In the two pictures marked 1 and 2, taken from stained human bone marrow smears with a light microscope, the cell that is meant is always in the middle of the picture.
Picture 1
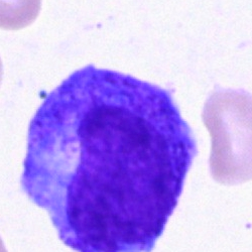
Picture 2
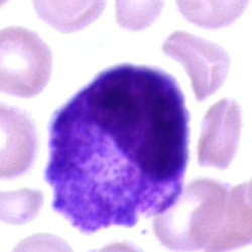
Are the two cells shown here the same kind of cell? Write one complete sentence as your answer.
Yes, they are the same type: both are promyelocytes.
